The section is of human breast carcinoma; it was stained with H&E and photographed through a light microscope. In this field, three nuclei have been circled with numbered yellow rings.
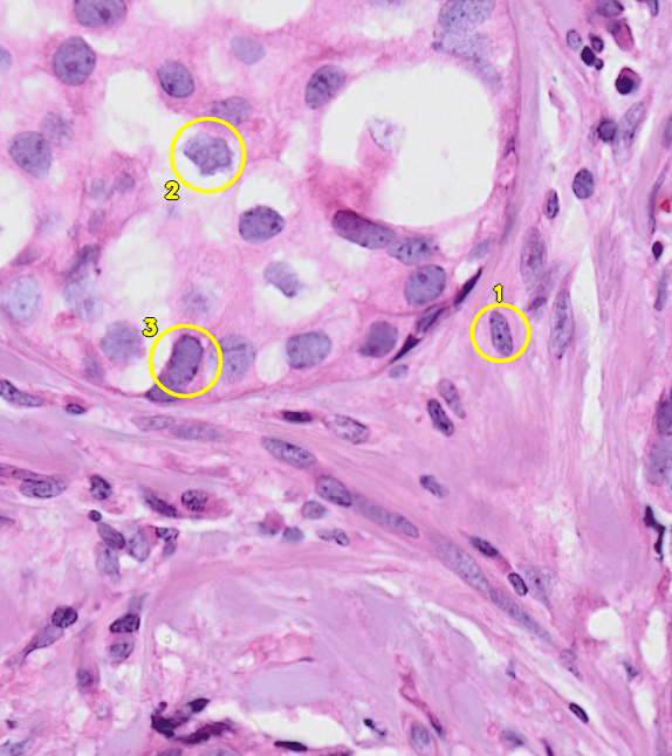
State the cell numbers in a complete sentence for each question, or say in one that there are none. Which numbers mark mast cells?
Among the numbered cells, the one that is a mast cell is cell 1 alone.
